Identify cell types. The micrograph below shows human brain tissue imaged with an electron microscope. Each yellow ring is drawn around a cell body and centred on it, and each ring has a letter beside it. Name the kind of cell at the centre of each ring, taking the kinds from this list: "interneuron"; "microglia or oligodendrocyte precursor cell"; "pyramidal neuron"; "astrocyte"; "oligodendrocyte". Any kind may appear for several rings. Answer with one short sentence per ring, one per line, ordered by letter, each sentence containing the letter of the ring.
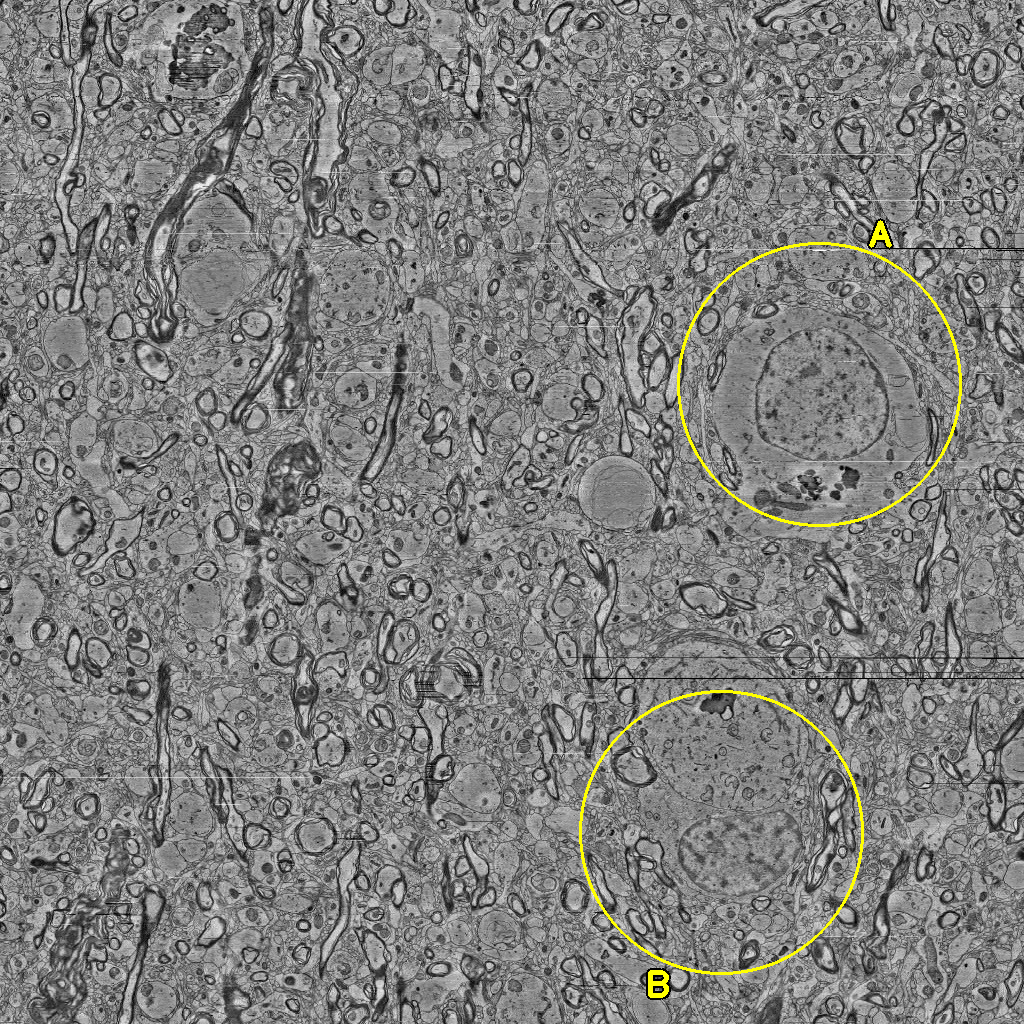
Ring A marks an astrocyte.
Ring B marks an oligodendrocyte.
